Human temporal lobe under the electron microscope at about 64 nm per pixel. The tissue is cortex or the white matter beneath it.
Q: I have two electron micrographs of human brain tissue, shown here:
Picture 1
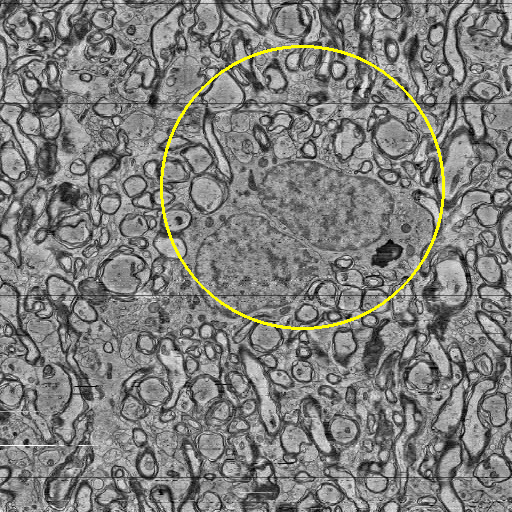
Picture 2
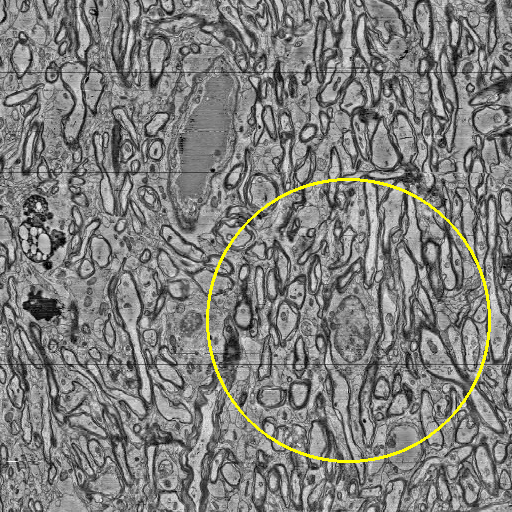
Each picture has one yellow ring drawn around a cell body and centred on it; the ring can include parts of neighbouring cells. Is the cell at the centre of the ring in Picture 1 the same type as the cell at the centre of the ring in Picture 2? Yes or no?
yes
